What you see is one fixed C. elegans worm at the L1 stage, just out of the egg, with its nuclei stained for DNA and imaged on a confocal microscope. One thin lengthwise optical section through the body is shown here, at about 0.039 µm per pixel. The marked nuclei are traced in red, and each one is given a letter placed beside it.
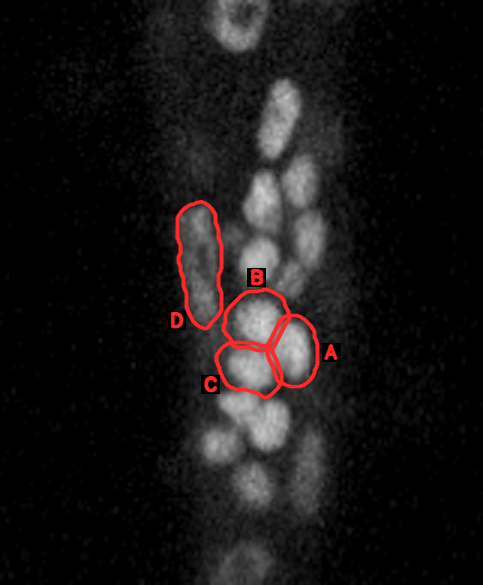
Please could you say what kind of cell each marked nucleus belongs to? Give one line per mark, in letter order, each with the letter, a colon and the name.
A: neuron
B: neuron
C: neuron
D: hypodermal cell (hyp)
